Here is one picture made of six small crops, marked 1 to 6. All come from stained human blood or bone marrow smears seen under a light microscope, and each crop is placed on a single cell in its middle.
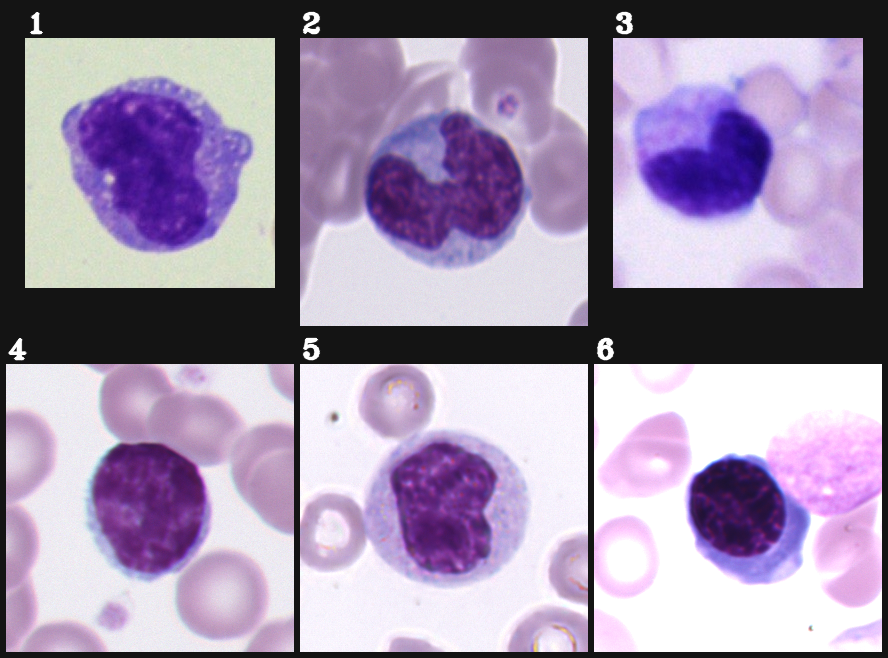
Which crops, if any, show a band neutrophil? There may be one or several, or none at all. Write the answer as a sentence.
No crop at all in this series shows a band neutrophil.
